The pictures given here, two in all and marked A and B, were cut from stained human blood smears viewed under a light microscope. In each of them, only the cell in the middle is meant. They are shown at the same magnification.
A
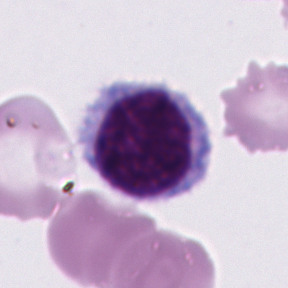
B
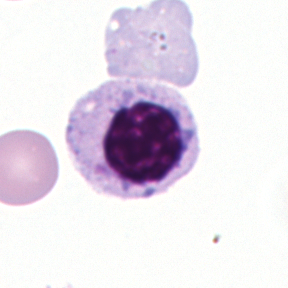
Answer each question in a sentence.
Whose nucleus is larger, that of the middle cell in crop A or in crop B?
Larger is the nucleus in crop A, at roughly 1.5 times the area of the other.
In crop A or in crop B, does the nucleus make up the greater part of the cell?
The nucleus fills more of the cell in crop A than in crop B.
